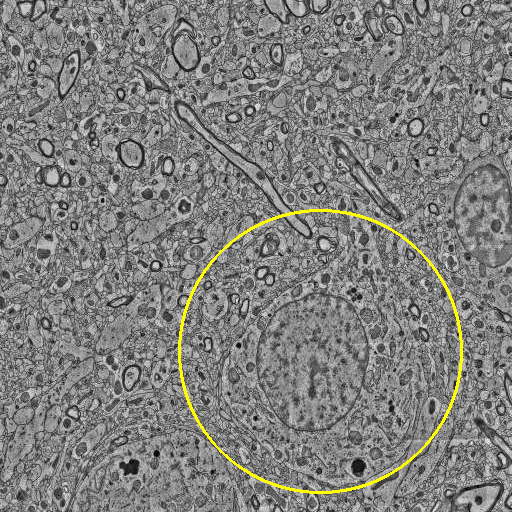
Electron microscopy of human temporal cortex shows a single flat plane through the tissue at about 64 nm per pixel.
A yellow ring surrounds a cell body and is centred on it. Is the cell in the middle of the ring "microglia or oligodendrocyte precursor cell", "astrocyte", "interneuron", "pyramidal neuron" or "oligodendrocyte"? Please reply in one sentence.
The ring is centred on an interneuron.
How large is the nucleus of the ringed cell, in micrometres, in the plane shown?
About 9 by 7 micrometres in this plane.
